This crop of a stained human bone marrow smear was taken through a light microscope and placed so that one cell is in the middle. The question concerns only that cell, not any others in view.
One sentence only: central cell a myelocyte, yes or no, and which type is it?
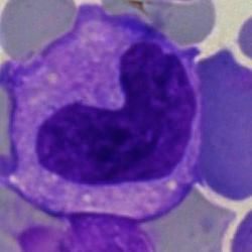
No, instead of being a myelocyte, the middle cell is a monocyte.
